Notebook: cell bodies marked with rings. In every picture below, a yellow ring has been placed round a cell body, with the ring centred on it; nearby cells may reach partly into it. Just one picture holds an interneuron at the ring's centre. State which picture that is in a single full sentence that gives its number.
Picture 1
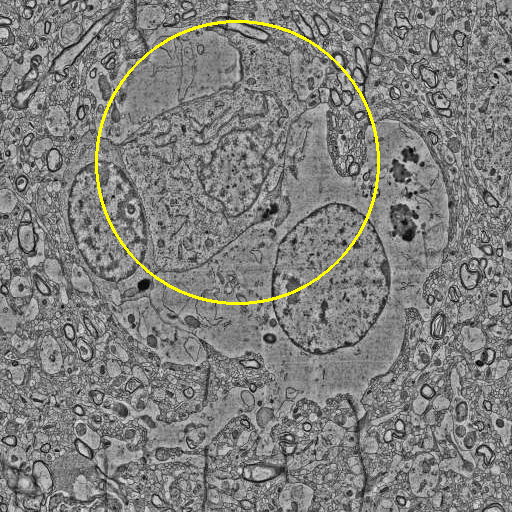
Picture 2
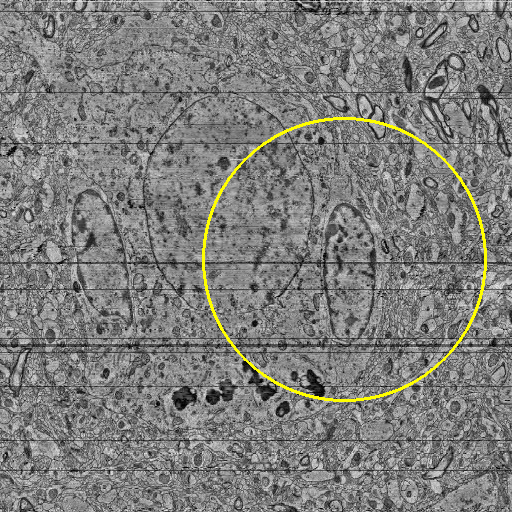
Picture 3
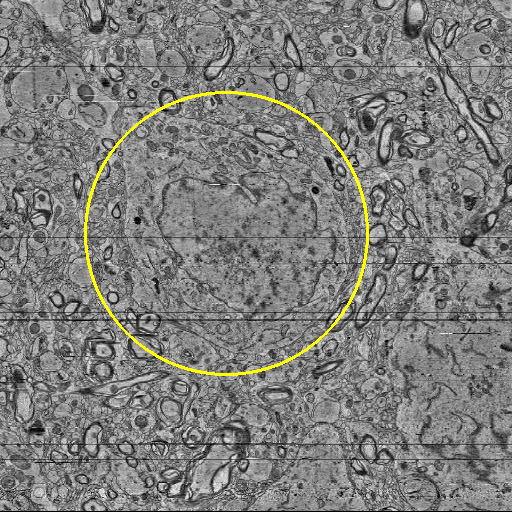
It is picture 3 whose ring has the wanted cell right at its centre.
